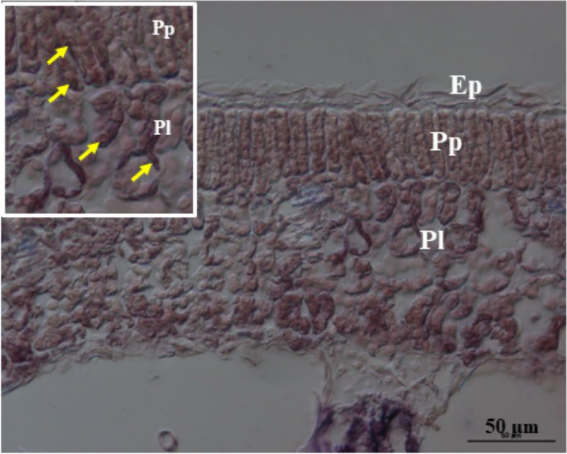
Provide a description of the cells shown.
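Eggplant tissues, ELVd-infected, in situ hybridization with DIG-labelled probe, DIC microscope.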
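Transverse section of a leaf blade with a thin upper epidermis, a layer of tall, closely packed columnar palisade parenchyma cells, and beneath it loosely arranged, irregularly lobed lacunar parenchyma cells separated by air spaces. The cell contents of both mesophyll layers are stained reddish-brown, concentrated in many small granular bodies along the cell walls, while the epidermis remains pale. An enlarged inset shows these dark granular bodies in the palisade and lacunar cells.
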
